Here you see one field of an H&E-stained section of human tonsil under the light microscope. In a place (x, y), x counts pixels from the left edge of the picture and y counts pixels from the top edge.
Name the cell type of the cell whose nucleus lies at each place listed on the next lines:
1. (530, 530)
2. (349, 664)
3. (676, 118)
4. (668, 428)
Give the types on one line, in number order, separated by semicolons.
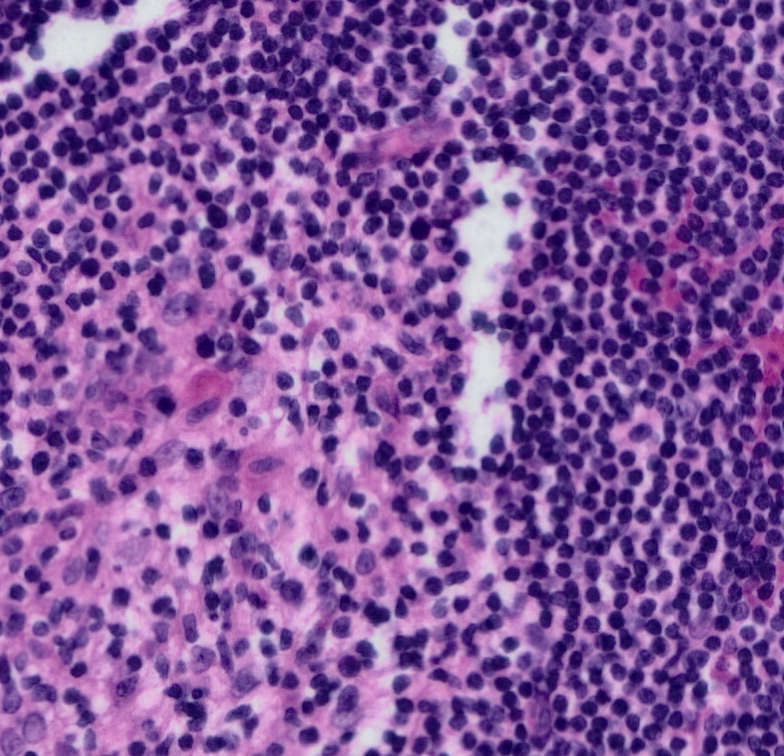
small lymphocyte; proliferating B cell; small lymphocyte; small lymphocyte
